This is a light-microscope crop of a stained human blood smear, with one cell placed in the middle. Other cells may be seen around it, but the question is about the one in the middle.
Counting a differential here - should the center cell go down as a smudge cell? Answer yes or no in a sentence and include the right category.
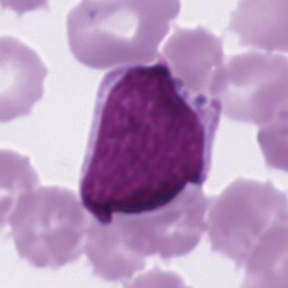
No, the cell at the centre of the crop corresponds to a myeloblast, not a smudge cell.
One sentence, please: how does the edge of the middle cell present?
Irregular rather than smooth, the cell margin shows ragged areas or projections.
